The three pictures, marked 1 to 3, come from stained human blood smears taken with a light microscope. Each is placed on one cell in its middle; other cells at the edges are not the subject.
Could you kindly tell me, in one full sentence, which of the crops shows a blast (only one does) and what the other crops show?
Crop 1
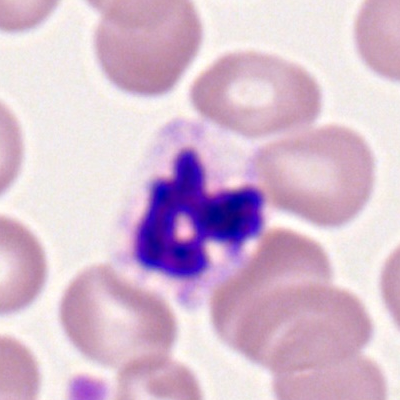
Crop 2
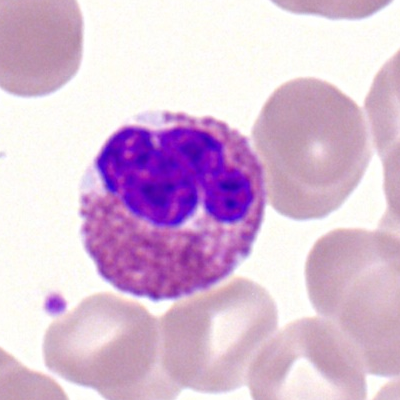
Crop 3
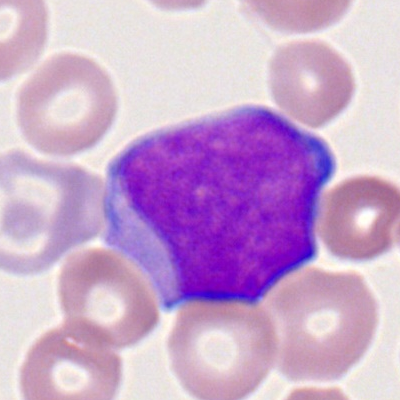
Crop 3 counts as a blast, while crop 1 is a neutrophil and crop 2 is an eosinophil.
